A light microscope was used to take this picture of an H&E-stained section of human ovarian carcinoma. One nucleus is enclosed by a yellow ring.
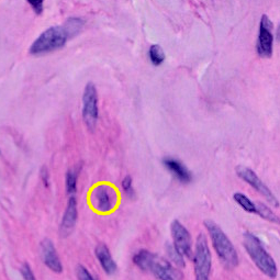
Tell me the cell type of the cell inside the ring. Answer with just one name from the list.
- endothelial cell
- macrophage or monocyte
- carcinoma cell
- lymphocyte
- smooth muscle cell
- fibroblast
smooth muscle cell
